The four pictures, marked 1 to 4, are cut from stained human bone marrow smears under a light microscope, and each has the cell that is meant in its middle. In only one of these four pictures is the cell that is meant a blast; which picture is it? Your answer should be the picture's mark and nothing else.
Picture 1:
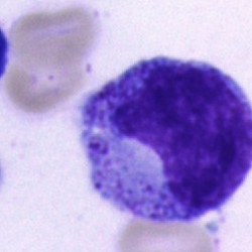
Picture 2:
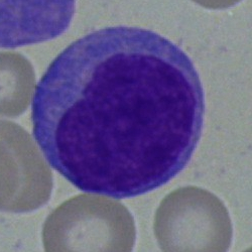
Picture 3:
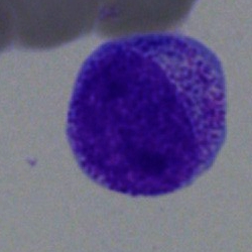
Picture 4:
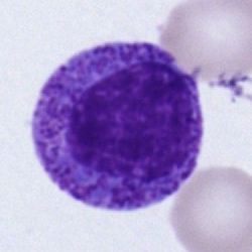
2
